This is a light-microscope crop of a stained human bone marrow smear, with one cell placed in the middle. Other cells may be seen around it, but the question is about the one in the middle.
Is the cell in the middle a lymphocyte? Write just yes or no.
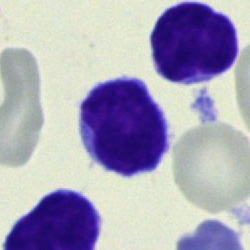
yes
